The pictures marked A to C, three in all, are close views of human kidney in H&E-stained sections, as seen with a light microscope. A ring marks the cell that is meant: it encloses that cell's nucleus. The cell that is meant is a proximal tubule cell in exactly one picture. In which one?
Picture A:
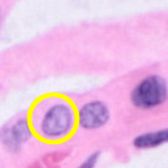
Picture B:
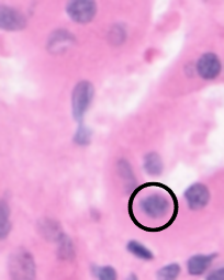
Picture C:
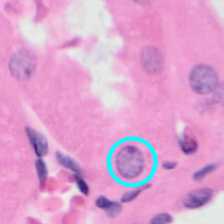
C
